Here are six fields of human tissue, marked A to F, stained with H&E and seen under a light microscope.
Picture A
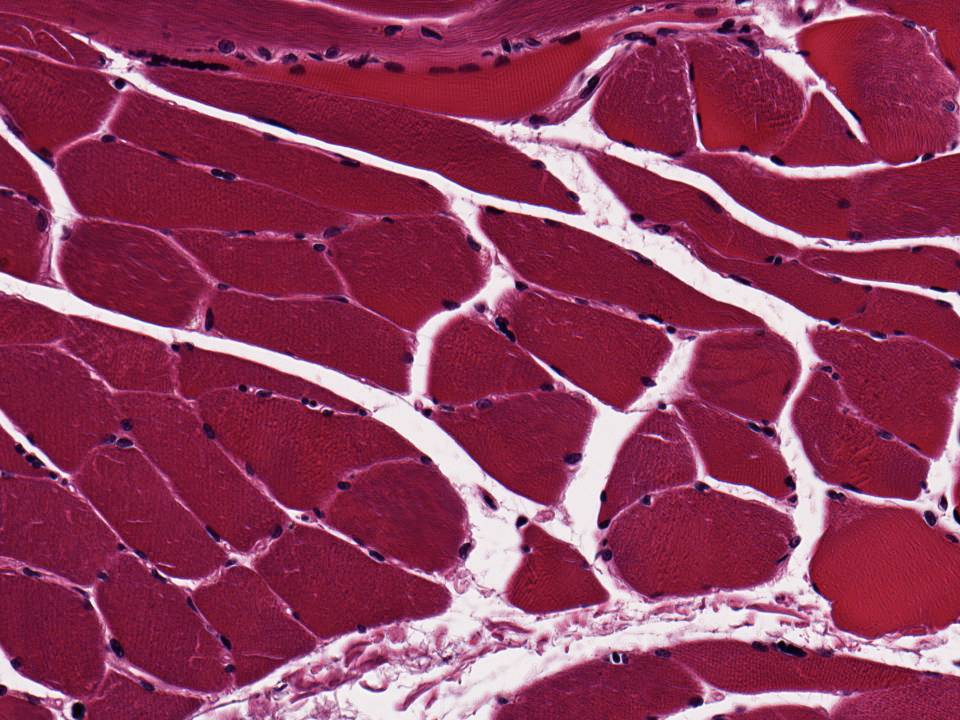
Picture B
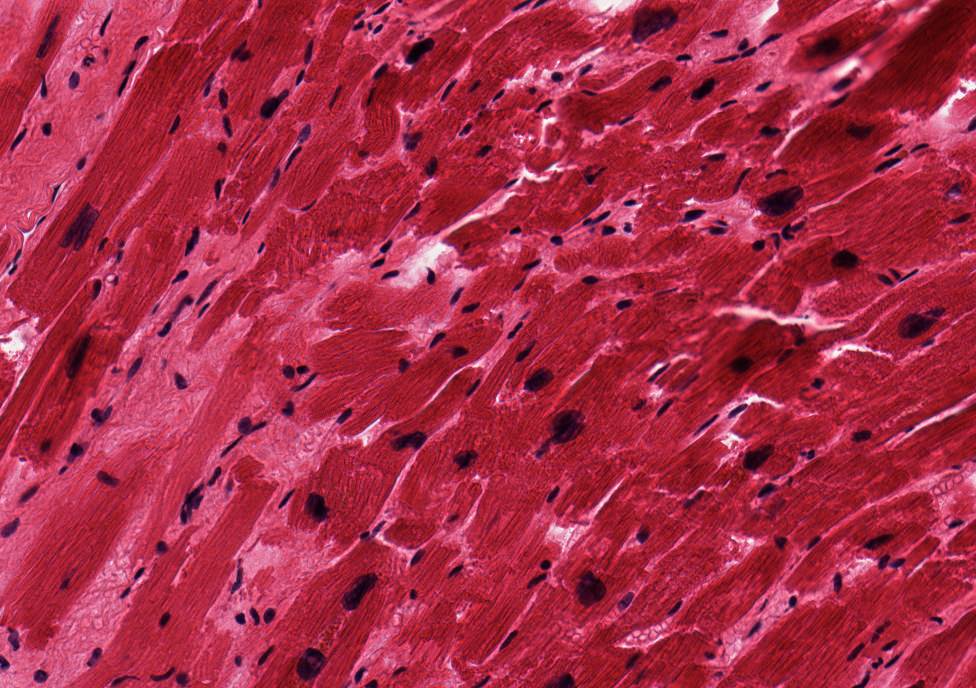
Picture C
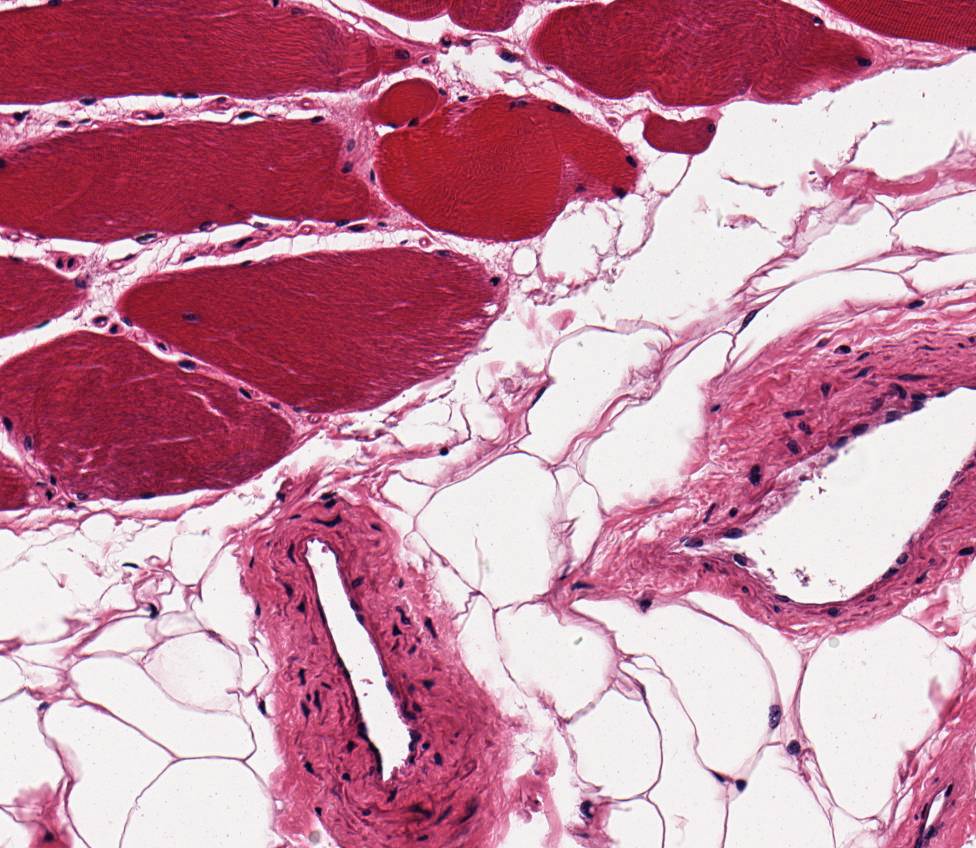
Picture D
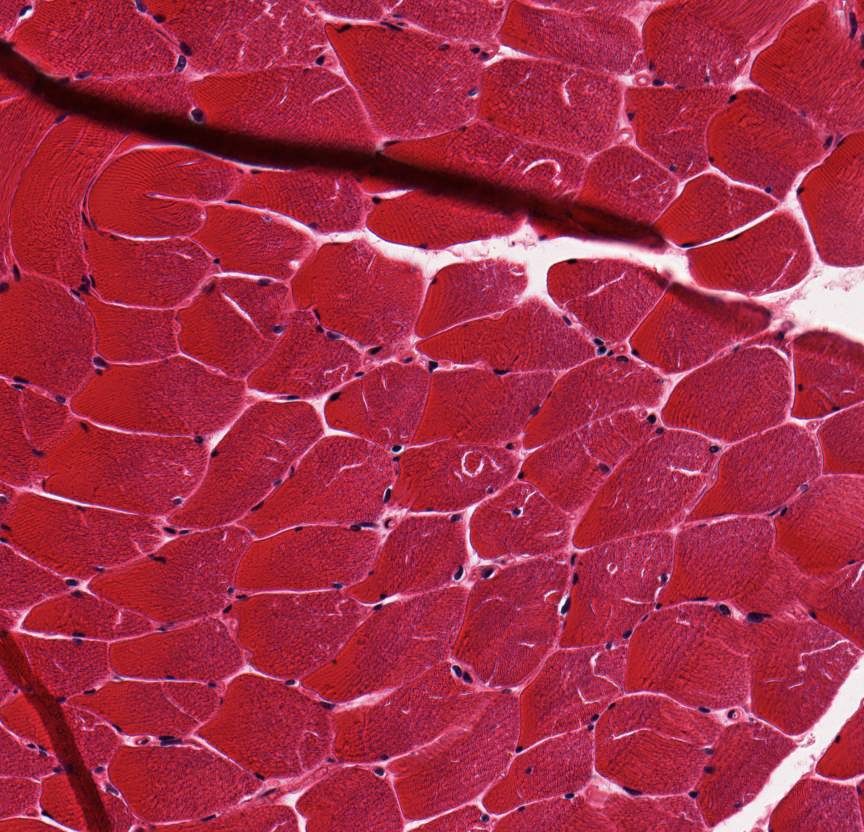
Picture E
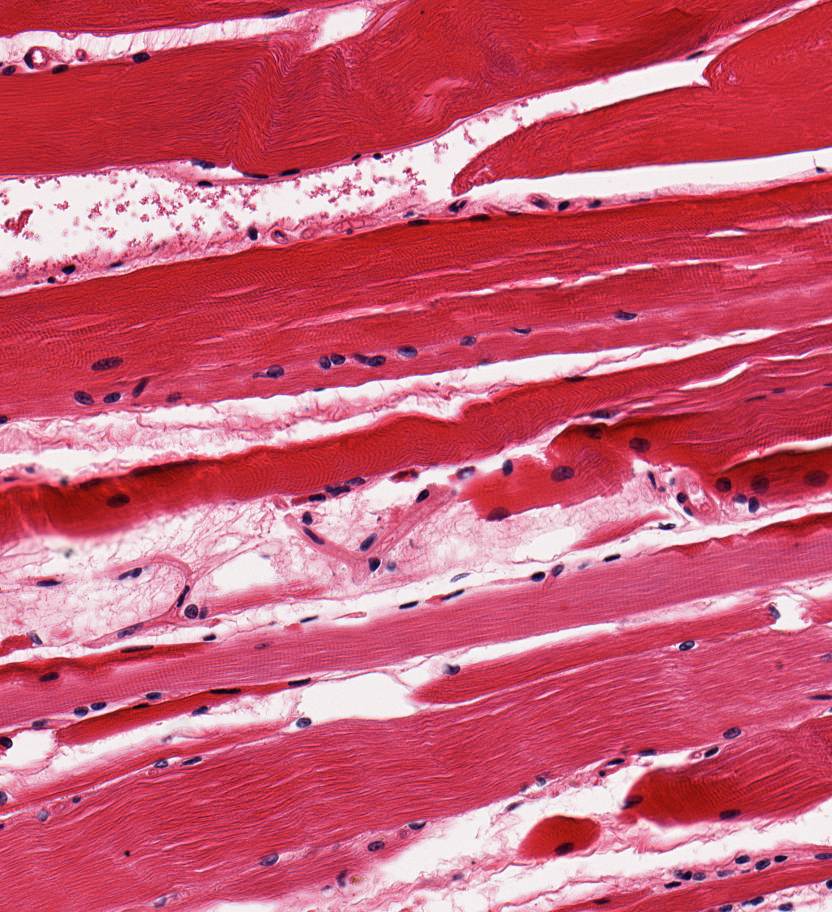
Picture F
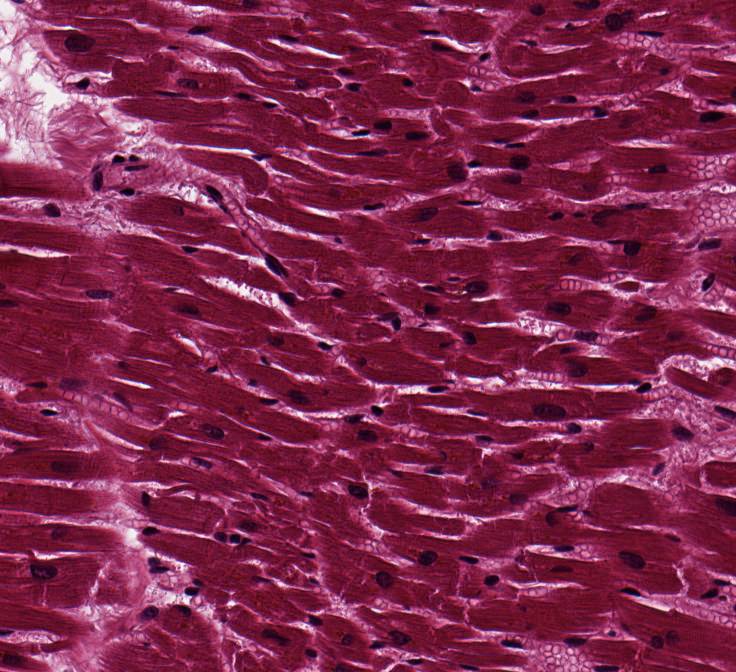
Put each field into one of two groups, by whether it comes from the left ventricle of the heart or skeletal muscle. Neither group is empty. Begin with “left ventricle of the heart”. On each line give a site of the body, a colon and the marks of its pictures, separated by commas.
left ventricle of the heart: B, F
skeletal muscle: A, C, D, E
